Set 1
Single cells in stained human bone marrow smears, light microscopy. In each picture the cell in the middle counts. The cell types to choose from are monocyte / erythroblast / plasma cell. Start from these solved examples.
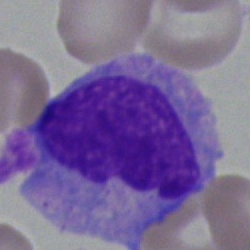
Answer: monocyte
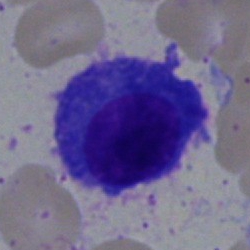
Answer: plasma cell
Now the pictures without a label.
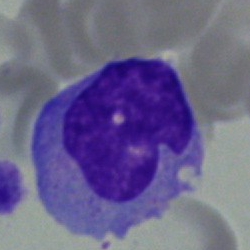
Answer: monocyte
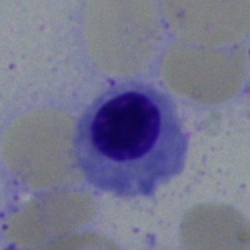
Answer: erythroblast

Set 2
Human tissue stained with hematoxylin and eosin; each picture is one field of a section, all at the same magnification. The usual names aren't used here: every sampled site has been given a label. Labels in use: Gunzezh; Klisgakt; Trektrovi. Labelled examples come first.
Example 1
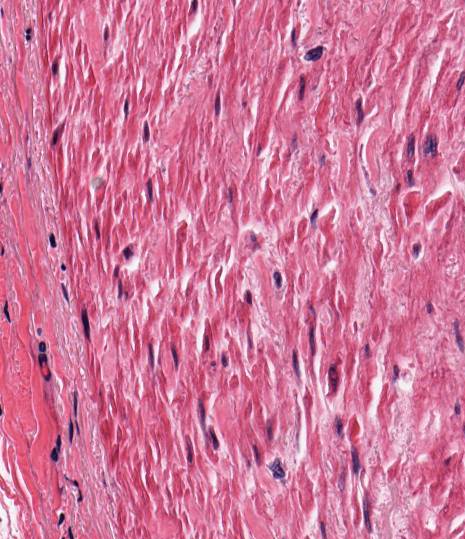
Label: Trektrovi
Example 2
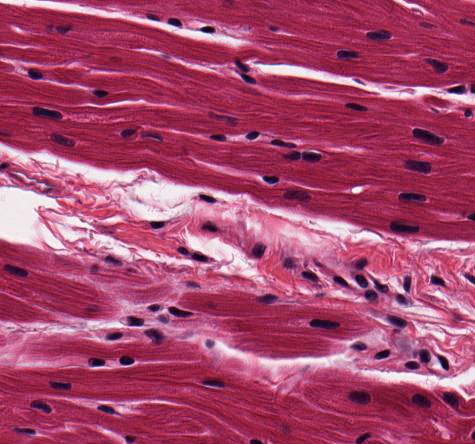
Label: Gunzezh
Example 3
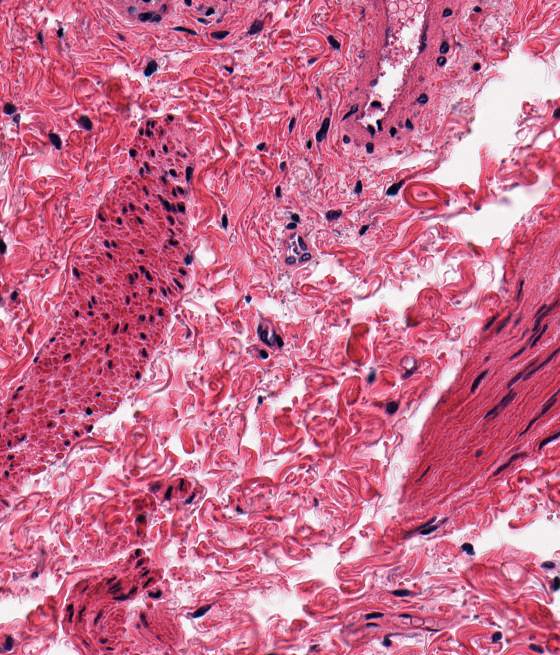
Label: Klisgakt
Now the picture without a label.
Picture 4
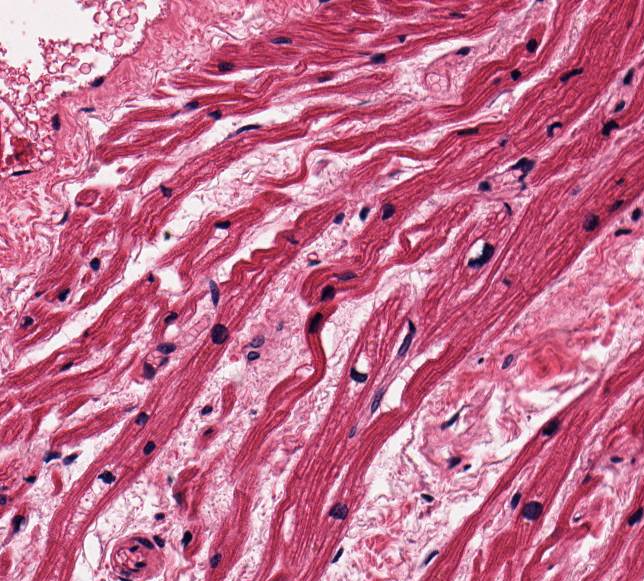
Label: Gunzezh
